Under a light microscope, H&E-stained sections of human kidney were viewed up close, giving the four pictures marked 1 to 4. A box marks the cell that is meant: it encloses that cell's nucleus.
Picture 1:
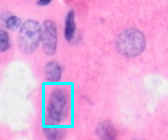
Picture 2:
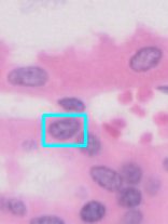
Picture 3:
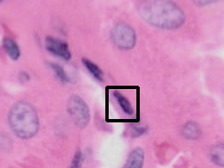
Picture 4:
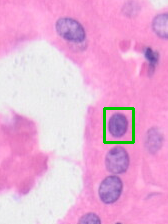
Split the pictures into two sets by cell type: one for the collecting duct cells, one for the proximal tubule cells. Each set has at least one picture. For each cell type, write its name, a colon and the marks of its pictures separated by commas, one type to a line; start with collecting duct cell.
collecting duct cell: 1, 2, 3
proximal tubule cell: 4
